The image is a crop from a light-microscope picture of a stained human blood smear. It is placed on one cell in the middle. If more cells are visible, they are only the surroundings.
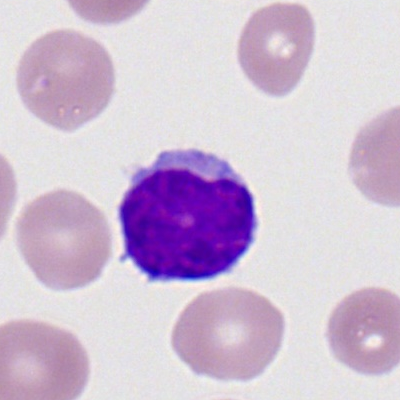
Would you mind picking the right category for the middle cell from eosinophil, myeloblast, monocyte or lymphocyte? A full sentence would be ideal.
The centrally placed cell is classified as a lymphocyte.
